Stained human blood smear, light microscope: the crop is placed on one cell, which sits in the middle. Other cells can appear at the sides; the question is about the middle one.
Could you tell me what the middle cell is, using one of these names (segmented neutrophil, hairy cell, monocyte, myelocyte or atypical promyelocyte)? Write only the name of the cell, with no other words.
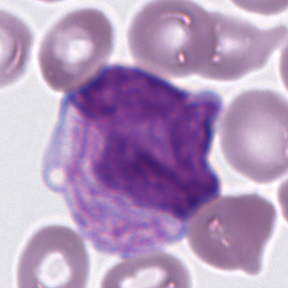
atypical promyelocyte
